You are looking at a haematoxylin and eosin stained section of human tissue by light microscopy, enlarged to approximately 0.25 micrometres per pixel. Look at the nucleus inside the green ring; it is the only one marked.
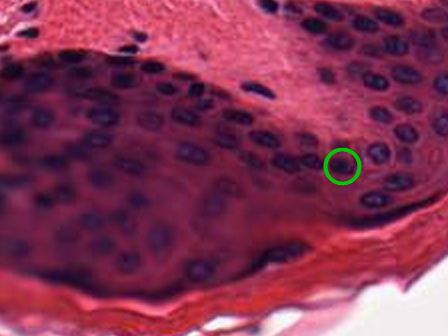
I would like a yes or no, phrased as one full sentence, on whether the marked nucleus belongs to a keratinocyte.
Yes, in the picture the marked nucleus belongs to a keratinocyte.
